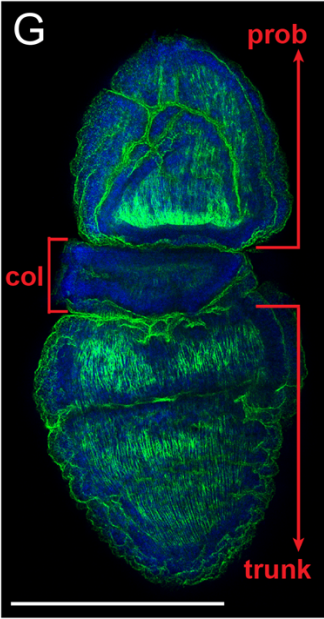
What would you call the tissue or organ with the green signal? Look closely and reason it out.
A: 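Dense parallel green fibres fill the lower body region. Green fibrous bands run inside the upper rounded region. The answer: muscle fibers.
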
